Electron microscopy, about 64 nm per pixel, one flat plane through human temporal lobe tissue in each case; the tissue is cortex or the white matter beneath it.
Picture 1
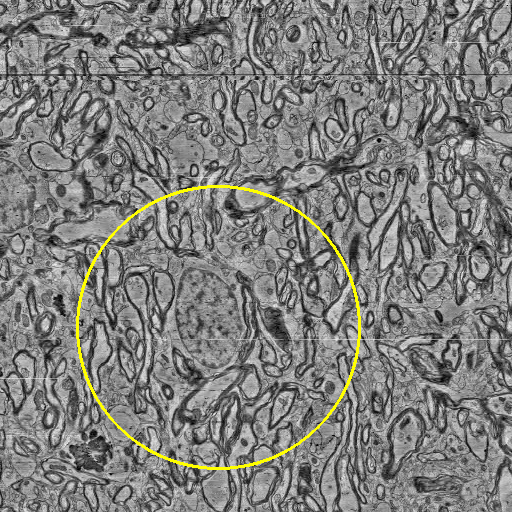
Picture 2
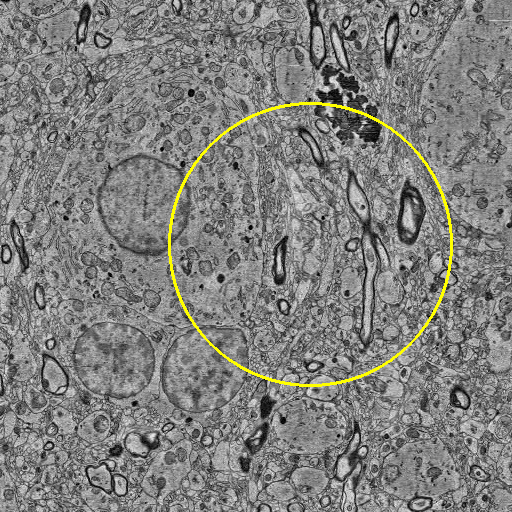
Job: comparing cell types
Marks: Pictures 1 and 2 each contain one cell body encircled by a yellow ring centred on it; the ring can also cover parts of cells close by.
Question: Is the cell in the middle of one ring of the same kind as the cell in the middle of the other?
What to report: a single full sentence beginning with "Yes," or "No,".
Yes, the cell at the ring centre in Picture 1 and its partner in Picture 2 are of one kind.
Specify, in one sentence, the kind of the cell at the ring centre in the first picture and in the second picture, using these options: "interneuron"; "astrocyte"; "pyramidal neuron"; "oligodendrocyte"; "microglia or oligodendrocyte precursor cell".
Each one of the two ringed cells is a microglial cell or oligodendrocyte precursor cell.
